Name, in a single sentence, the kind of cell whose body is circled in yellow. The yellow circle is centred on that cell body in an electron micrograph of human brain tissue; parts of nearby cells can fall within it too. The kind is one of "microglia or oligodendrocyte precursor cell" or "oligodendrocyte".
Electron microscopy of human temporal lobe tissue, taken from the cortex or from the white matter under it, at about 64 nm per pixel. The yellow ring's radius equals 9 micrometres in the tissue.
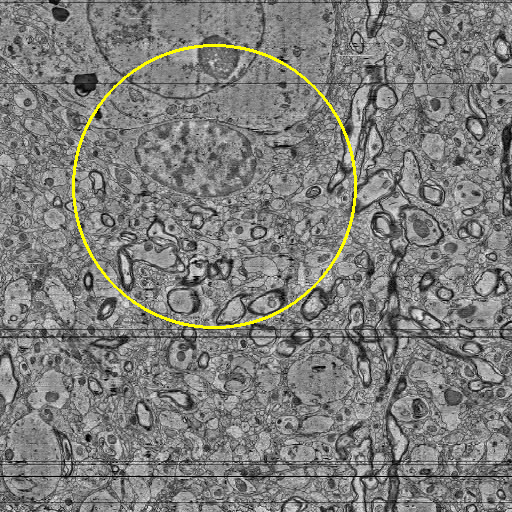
The circled cell body belongs to an oligodendrocyte.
